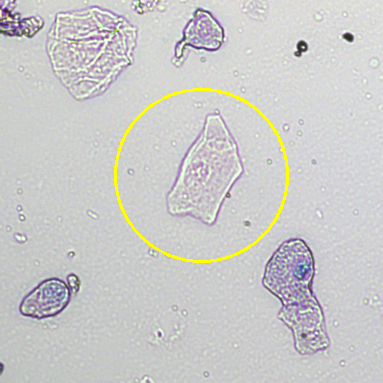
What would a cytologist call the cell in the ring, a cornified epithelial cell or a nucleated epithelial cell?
A cytologist would call it a cornified epithelial cell.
